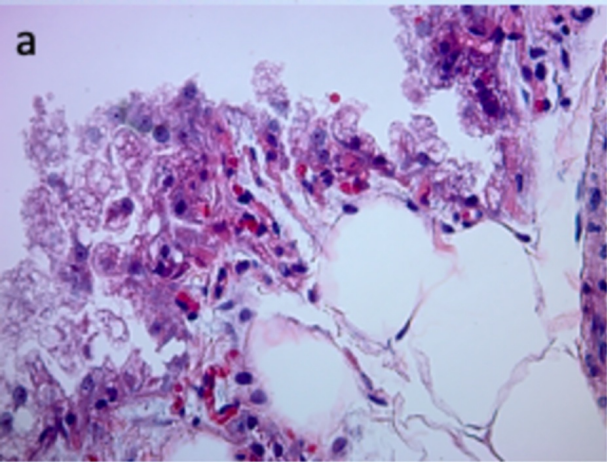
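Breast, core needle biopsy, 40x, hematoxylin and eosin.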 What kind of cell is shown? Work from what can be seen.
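Foamy cells. Cells have abundant pale, bubbly cytoplasm. Nuclei are round and fairly uniform. The cells sit at an edge next to fat cells.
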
